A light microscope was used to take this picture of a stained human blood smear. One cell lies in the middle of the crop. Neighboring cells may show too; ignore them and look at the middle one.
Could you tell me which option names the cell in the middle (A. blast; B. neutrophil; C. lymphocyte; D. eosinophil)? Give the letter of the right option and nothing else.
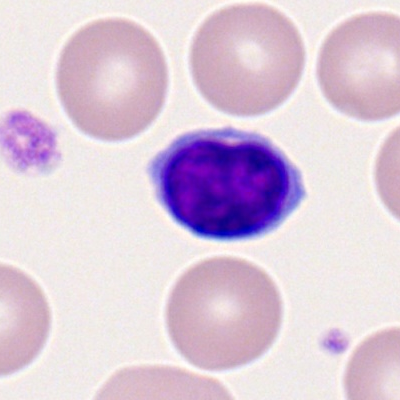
C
